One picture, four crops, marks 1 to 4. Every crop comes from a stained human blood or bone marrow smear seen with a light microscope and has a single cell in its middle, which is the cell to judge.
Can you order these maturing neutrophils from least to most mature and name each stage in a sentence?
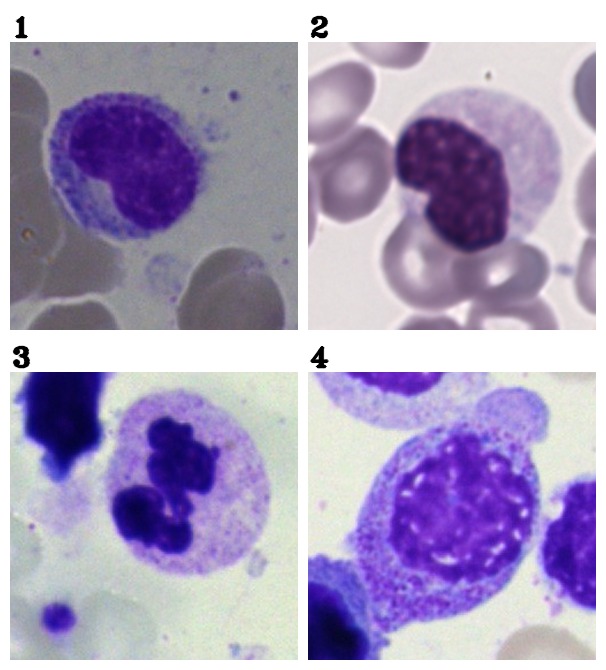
From the least mature to the most mature, the sequence runs crop 4 (a myelocyte), crop 1 (a metamyelocyte), crop 2 (a band neutrophil) and crop 3 (a segmented neutrophil).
